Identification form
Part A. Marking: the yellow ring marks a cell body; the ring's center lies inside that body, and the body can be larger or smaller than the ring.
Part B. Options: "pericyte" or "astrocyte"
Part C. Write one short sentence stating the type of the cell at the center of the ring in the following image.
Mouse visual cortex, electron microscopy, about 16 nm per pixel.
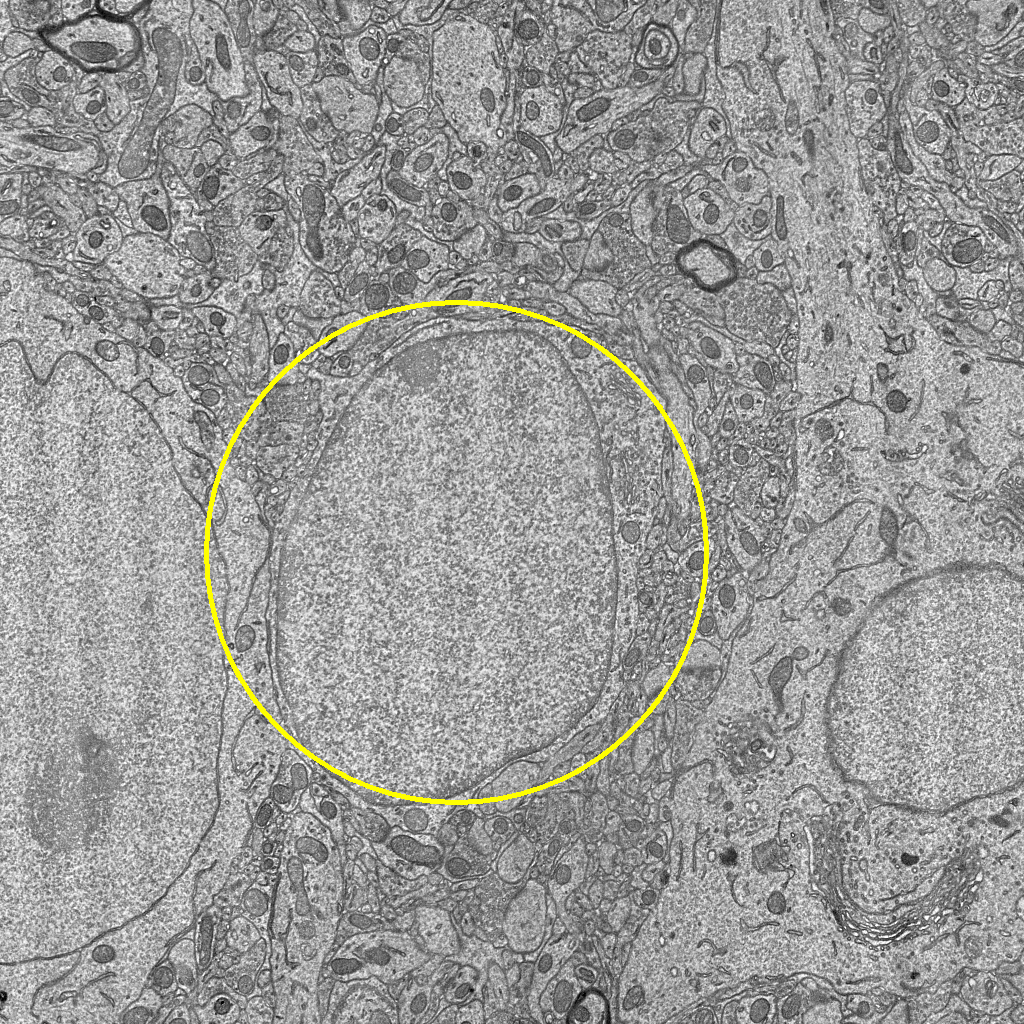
The center of the ring holds an astrocyte.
